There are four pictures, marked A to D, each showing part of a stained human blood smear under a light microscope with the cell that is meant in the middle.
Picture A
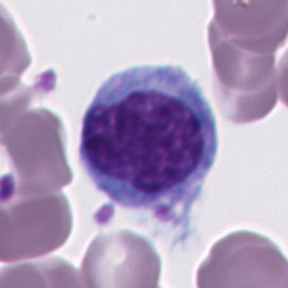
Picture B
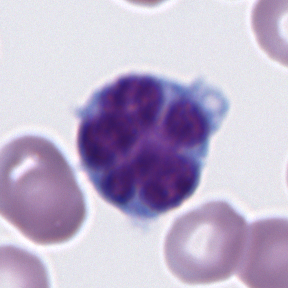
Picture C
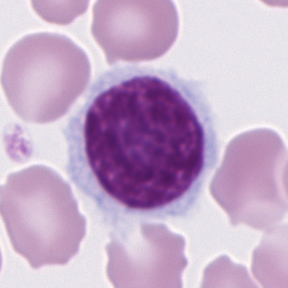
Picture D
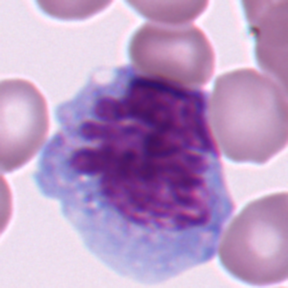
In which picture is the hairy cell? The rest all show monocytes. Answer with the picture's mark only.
C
